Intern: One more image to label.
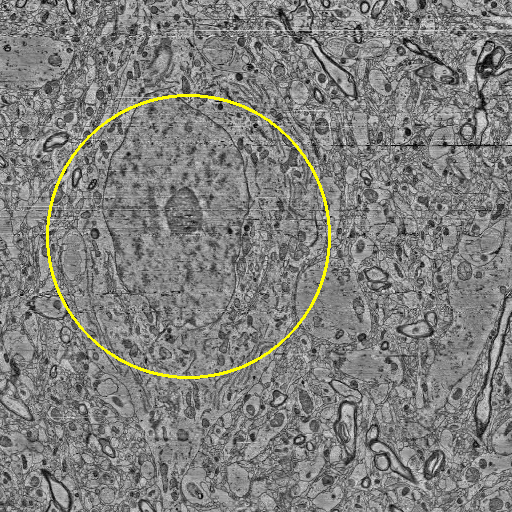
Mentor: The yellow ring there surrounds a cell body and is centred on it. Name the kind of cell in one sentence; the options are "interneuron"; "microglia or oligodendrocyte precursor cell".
The ring marks the cell body of an interneuron.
